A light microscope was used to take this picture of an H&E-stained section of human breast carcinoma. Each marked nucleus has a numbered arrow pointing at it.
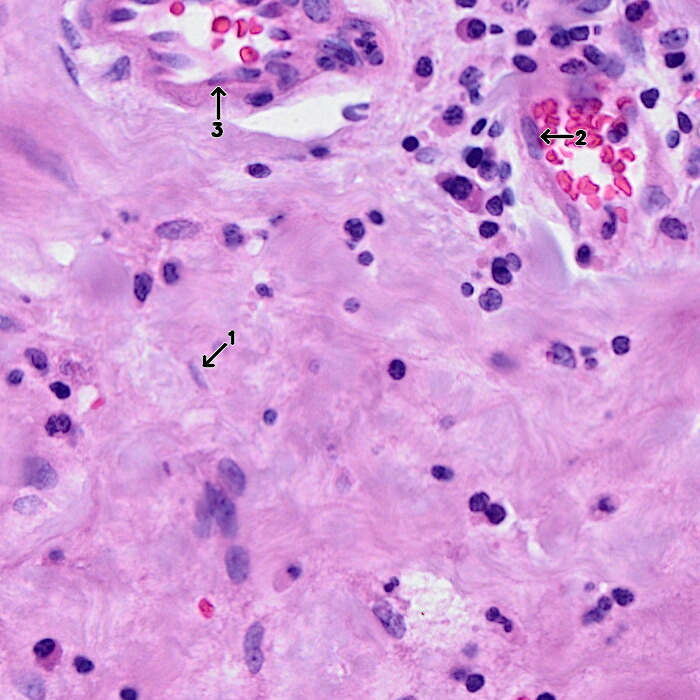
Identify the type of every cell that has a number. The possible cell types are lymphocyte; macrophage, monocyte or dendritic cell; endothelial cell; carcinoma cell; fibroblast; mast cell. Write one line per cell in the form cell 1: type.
cell 1: fibroblast
cell 2: endothelial cell
cell 3: endothelial cell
